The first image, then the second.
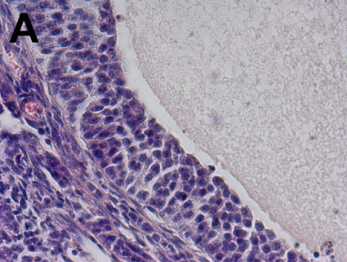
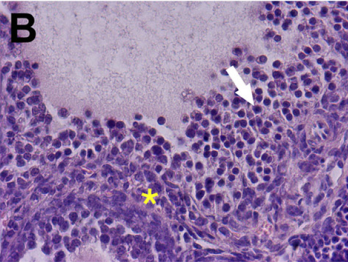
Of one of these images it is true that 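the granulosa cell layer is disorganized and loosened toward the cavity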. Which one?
The second image.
